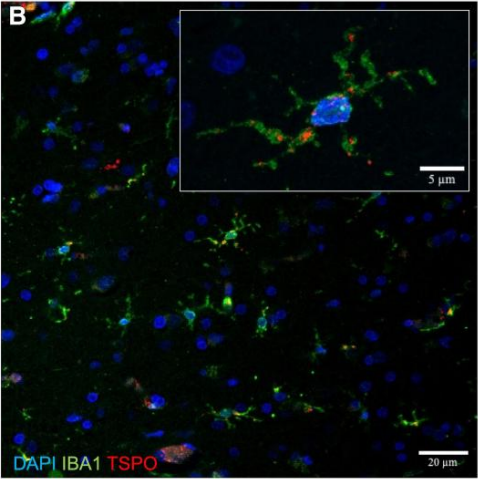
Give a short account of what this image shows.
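Brain tissue with scattered microglial cells whose green-stained bodies extend thin, branching processes around small blue nuclei. The enlarged view shows a single microglial cell with a central nucleus and several ramified processes, along which small red dots lie.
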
